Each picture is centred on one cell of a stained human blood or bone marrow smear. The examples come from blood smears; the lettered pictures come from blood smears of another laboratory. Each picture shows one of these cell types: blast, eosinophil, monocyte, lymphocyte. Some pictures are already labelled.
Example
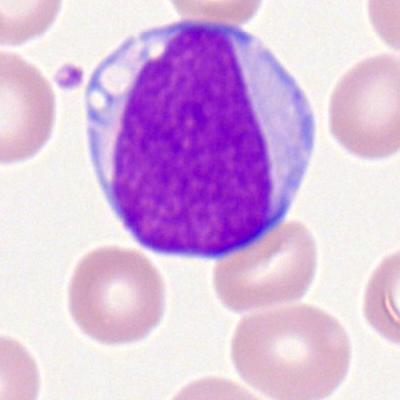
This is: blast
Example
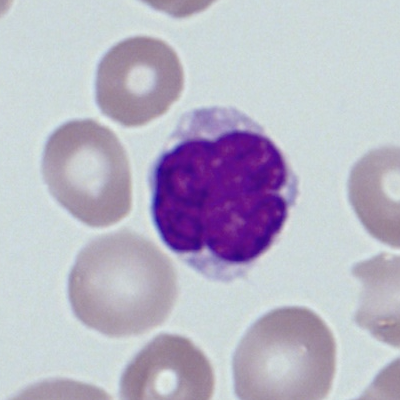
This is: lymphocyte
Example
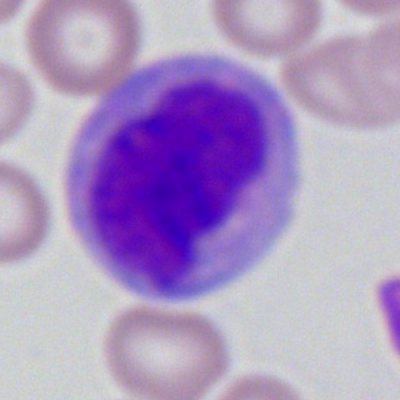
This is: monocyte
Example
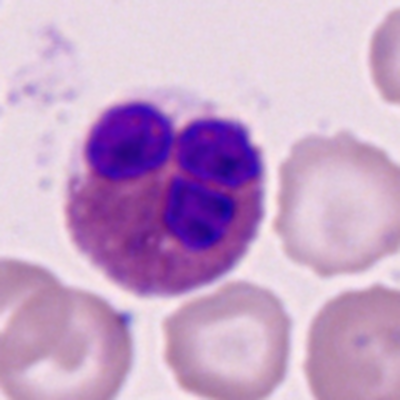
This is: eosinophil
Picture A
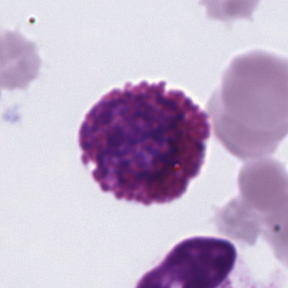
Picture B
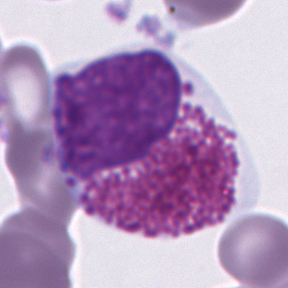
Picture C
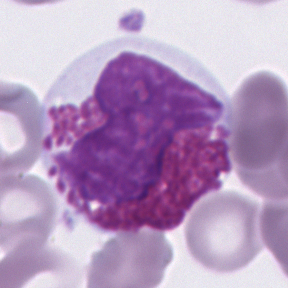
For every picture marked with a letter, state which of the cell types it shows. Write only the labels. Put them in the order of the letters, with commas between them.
eosinophil, eosinophil, eosinophil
